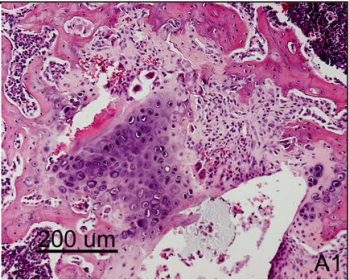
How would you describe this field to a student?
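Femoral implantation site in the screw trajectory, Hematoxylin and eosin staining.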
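This field shows cartilaginous new bone formation, with an island of hyaline-like cartilage set among bone trabeculae. The cartilage has a purple-blue matrix in which rounded chondrocytes lie singly or in small groups within lacunae. Around the cartilage, pink-staining bone trabeculae form an irregular network. Between the trabeculae lie clusters of small dark-nucleated marrow cells and some blood.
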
